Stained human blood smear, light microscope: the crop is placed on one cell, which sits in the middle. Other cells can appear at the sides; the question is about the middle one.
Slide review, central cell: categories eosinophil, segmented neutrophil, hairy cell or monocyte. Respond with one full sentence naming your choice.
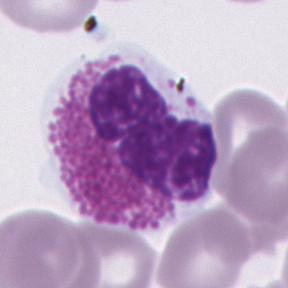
The crop's centre is taken up by an eosinophil.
